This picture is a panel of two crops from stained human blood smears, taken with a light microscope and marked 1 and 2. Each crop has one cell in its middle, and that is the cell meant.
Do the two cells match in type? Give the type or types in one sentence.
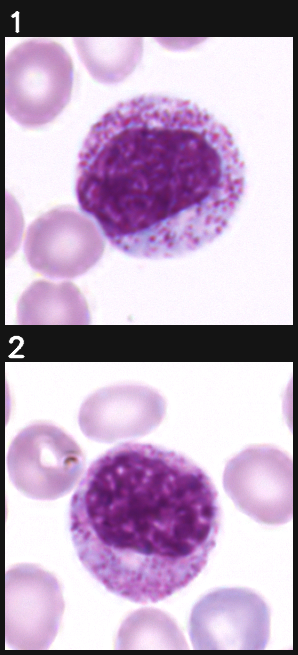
Yes, myelocytes are present at the centre of both crops.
